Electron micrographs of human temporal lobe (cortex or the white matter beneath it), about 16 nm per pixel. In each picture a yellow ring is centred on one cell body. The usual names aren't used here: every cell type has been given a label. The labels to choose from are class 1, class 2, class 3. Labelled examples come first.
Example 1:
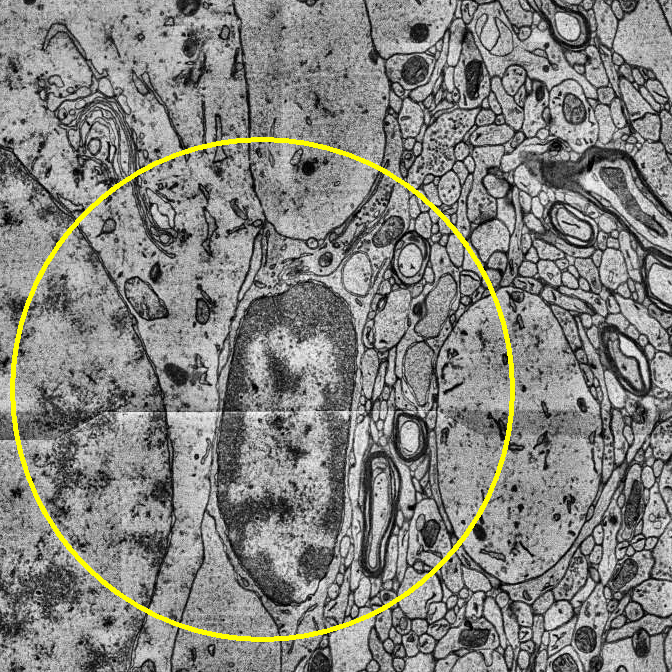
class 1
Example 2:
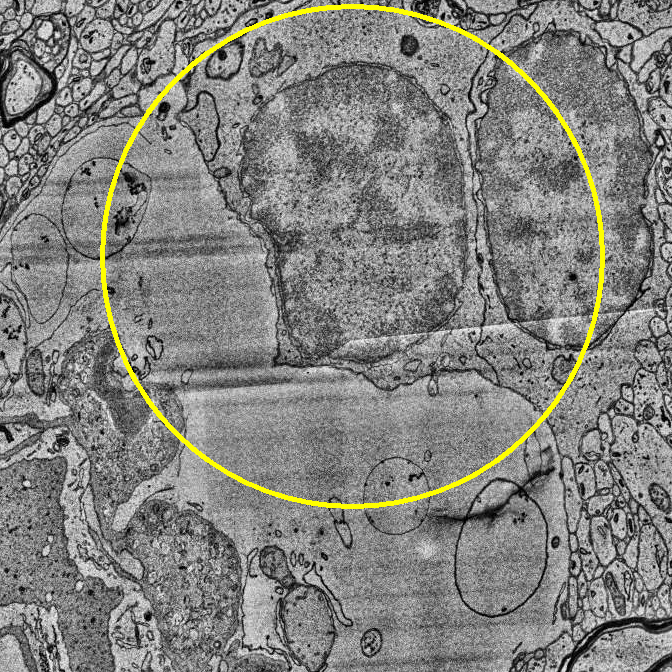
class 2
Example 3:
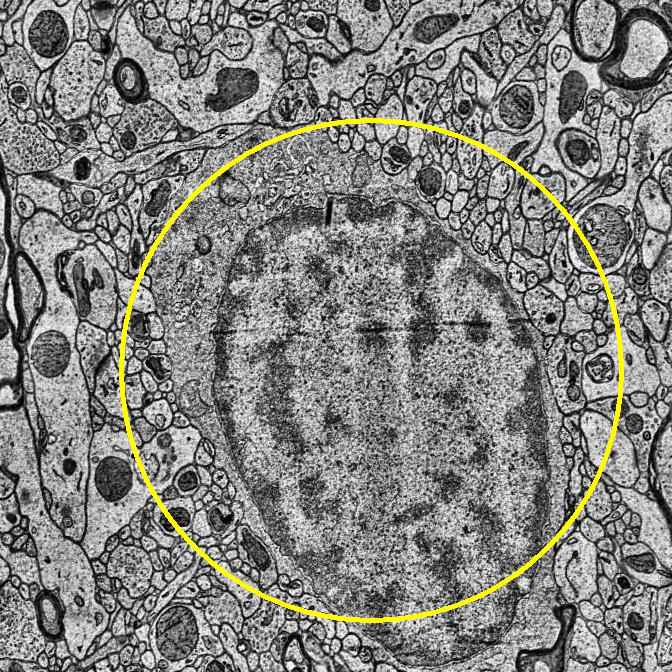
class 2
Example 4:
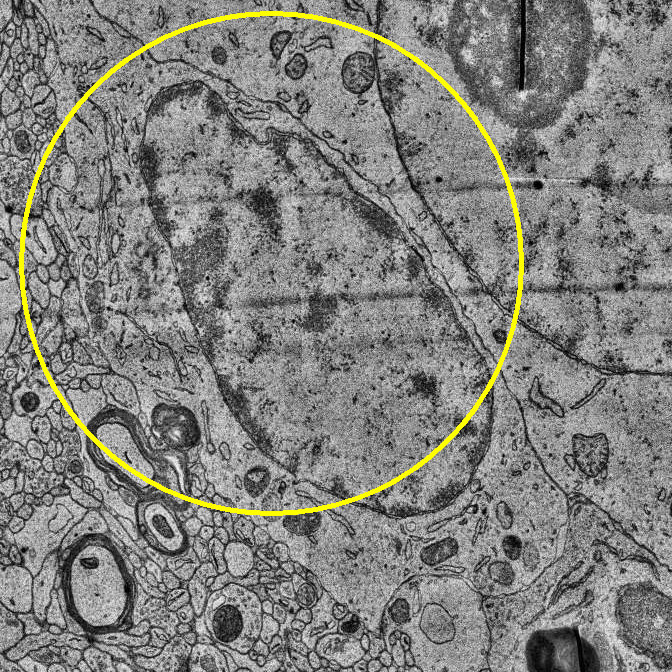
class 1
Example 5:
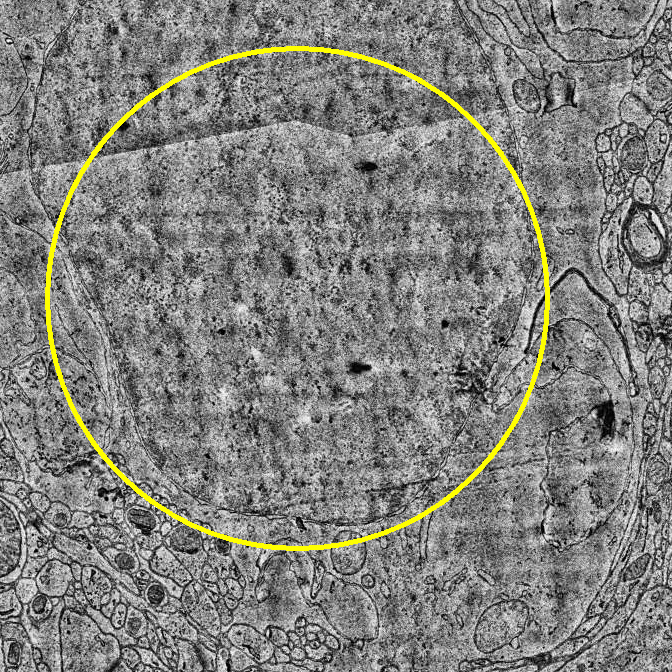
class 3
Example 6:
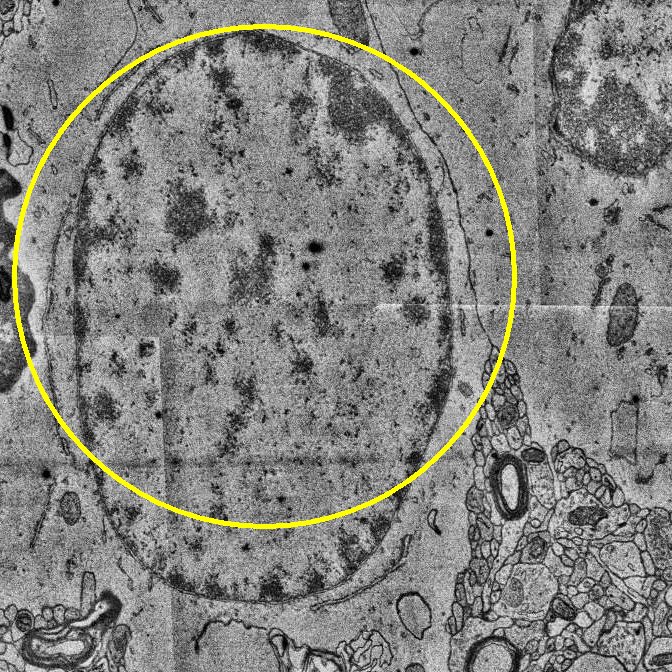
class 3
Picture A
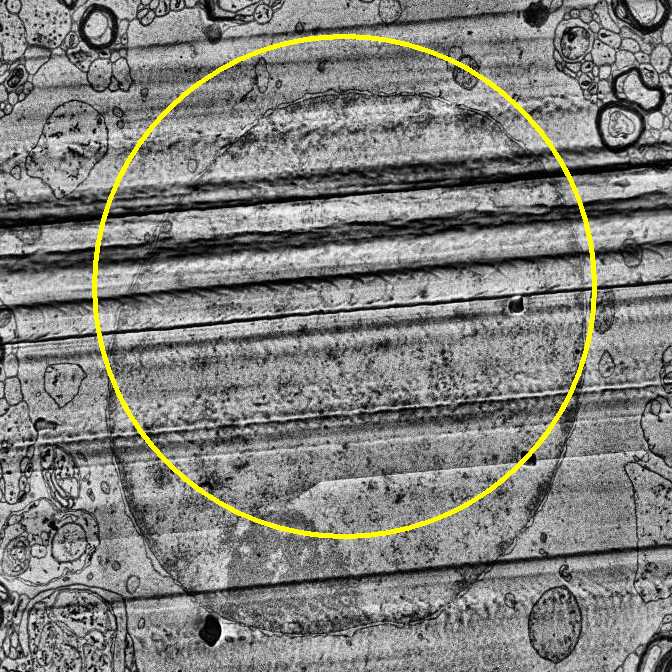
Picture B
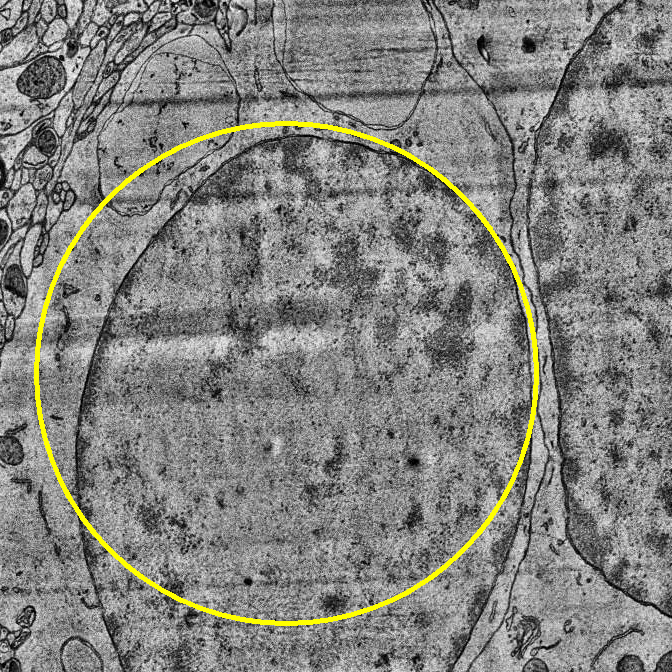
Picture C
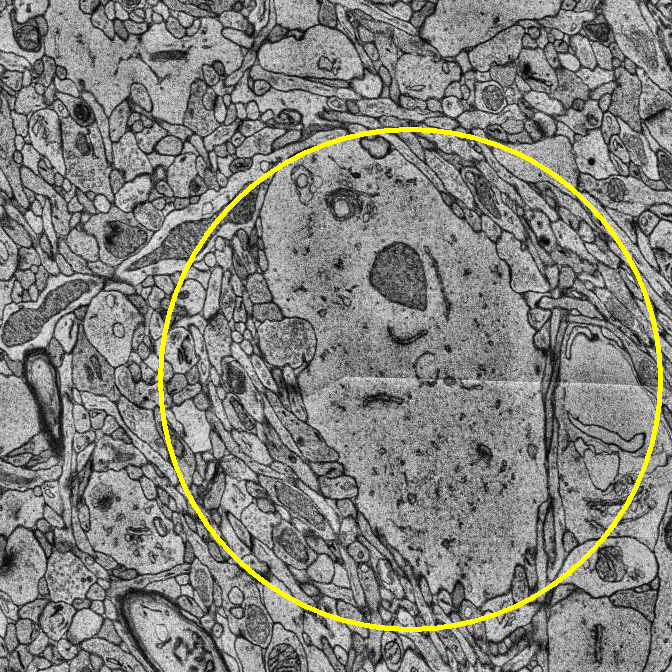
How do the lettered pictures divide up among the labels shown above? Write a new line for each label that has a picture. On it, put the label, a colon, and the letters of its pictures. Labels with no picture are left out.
class 3: A, B, C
